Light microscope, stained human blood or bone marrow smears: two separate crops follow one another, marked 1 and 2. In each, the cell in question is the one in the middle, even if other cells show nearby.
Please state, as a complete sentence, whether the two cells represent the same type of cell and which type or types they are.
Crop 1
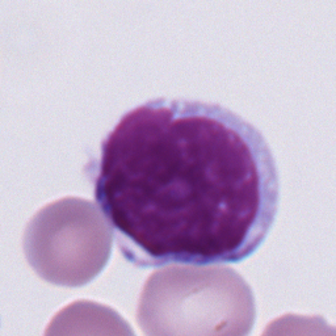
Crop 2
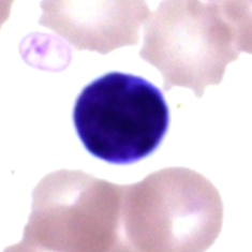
Yes, in both of the crops, the central cells are lymphocytes.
